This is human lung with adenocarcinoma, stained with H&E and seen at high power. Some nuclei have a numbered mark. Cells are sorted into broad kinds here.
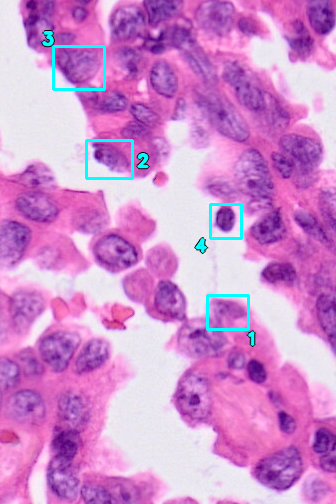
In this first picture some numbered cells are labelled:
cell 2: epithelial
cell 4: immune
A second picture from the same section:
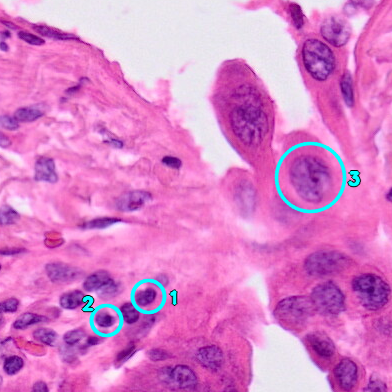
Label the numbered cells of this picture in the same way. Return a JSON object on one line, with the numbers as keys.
{"1": "immune", "2": "immune", "3": "epithelial"}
